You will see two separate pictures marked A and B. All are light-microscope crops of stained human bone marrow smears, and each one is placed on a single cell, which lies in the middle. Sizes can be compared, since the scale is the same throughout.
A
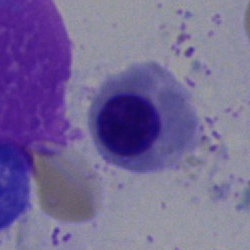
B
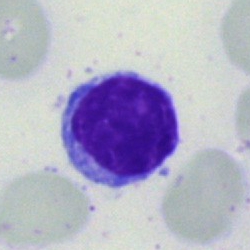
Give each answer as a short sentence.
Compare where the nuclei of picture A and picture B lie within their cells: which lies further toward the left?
Seen within its cell, the nucleus in picture A lies further toward the left.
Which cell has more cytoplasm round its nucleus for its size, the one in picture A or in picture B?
In picture A the nucleus takes up the smaller part of its cell.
